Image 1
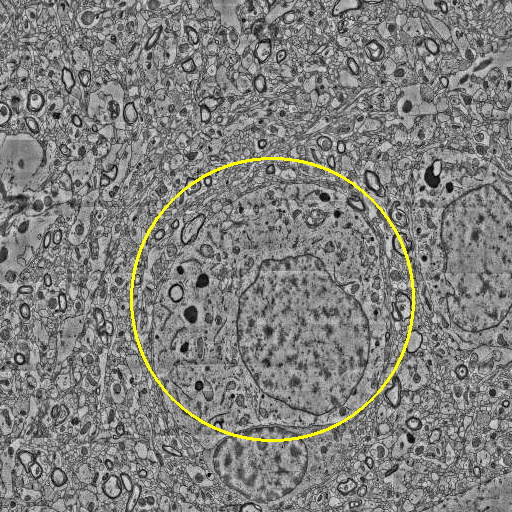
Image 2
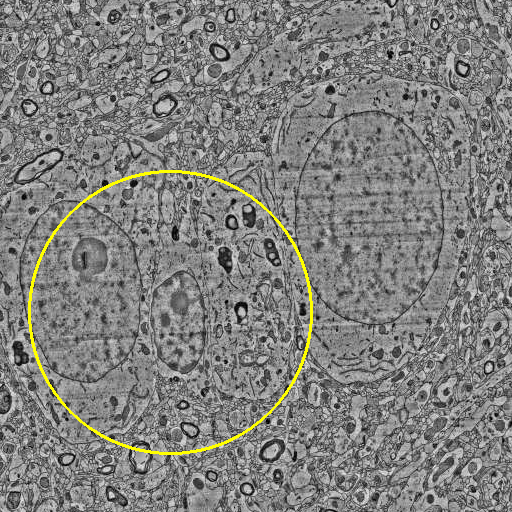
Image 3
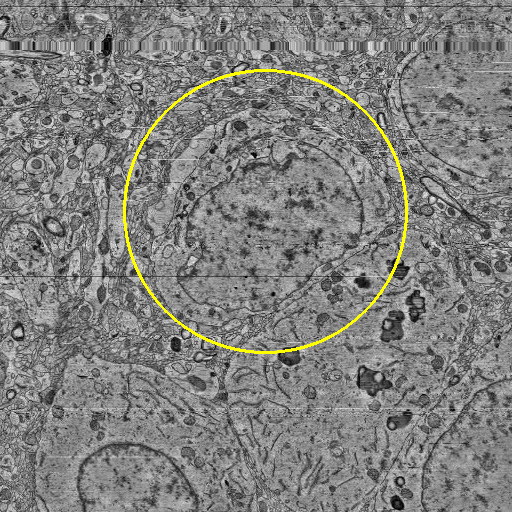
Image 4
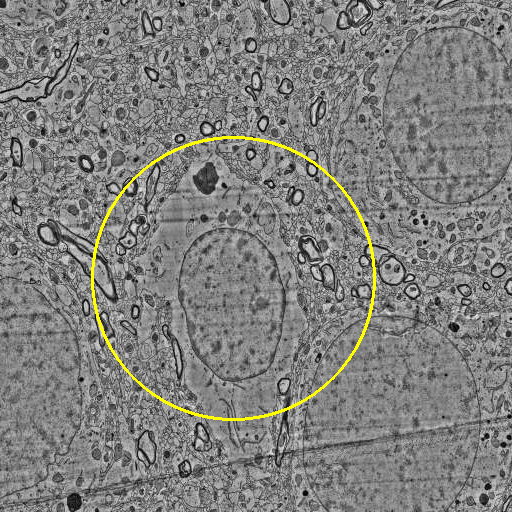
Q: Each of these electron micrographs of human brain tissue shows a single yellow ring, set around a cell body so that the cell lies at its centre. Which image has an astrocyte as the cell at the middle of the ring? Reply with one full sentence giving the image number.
In image 4, the cell lying at the ring's centre is the requested one.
